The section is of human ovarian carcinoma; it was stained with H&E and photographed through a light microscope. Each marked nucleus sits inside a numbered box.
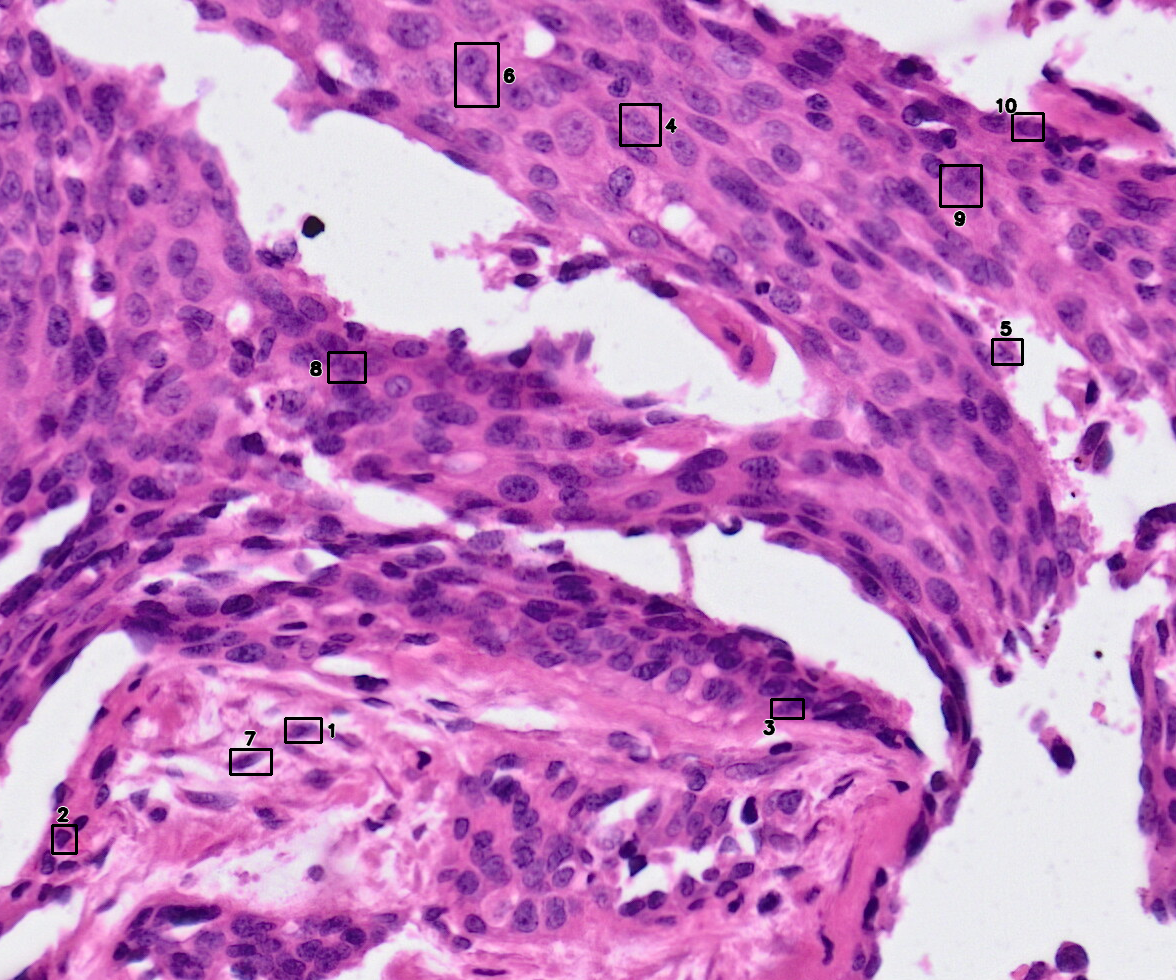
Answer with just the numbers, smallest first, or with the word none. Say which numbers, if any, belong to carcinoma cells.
3, 4, 6, 8, 9, 10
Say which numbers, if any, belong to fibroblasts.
1, 7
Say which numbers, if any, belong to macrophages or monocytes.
5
